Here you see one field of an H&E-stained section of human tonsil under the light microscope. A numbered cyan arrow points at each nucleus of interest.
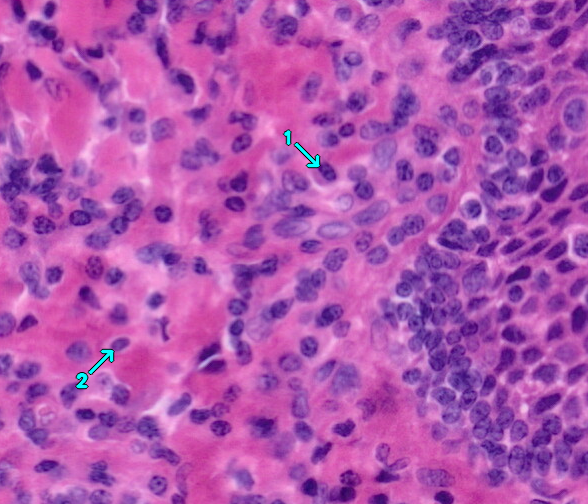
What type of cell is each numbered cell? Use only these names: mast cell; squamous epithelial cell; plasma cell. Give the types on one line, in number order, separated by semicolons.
plasma cell; mast cell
